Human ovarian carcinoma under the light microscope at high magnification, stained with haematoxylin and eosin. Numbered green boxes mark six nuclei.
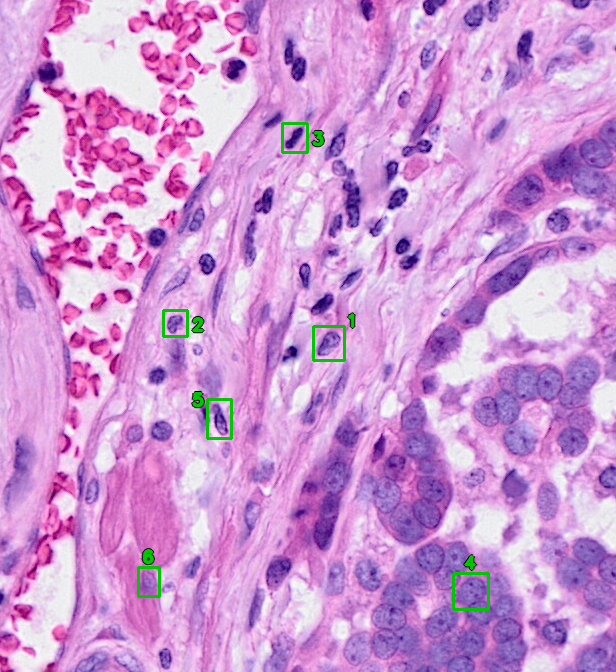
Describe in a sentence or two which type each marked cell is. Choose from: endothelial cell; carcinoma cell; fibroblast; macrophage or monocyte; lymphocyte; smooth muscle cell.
Cell 1 is a lymphocyte, cell 2 is a lymphocyte, cell 3 is a lymphocyte, cell 4 is a carcinoma cell, cell 5 is a lymphocyte and cell 6 is a smooth muscle cell.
